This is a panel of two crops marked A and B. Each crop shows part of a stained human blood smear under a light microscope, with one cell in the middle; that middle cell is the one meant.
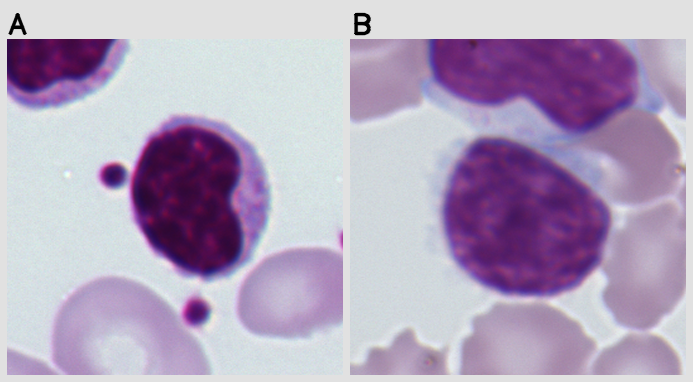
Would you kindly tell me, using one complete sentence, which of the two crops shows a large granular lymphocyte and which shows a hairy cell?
Crop A is a large granular lymphocyte, while a hairy cell is the cell in crop B.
